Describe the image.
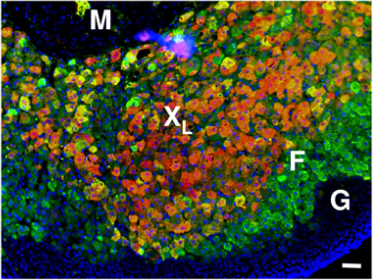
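An adrenal gland section is dominated by a wide mass of large cortical cells lying next to the medulla. These cells are round to polygonal, with abundant cytoplasm labelled red, orange or yellow where red and green overlap, and blue nuclei. Many cells are markedly enlarged and of varying size. Toward the outer cortex the label shifts to mostly green cells, and a blue-nucleated rim lies at the edge. A small part of the medulla with blue nuclei is visible at the top.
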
